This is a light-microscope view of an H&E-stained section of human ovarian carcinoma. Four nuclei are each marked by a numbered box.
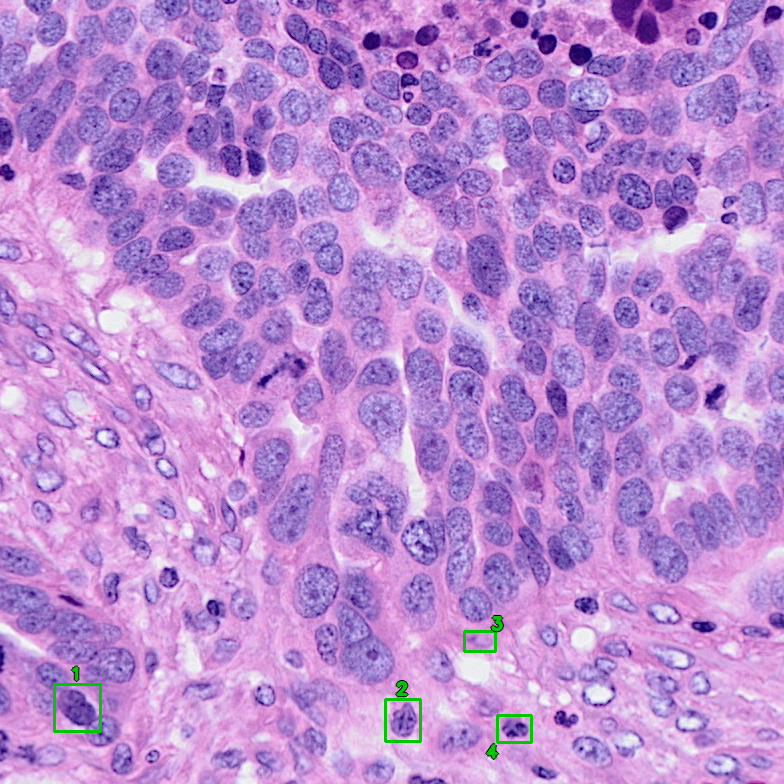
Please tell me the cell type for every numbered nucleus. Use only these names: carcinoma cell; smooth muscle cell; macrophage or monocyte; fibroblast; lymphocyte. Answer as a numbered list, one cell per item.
1. carcinoma cell
2. macrophage or monocyte
3. fibroblast
4. lymphocyte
